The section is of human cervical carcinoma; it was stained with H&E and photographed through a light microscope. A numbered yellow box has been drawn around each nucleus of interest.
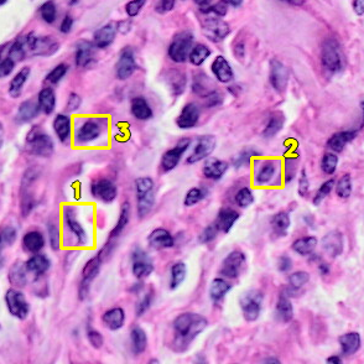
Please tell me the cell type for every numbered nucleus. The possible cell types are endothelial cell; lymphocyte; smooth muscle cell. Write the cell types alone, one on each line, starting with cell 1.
endothelial cell
lymphocyte
lymphocyte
